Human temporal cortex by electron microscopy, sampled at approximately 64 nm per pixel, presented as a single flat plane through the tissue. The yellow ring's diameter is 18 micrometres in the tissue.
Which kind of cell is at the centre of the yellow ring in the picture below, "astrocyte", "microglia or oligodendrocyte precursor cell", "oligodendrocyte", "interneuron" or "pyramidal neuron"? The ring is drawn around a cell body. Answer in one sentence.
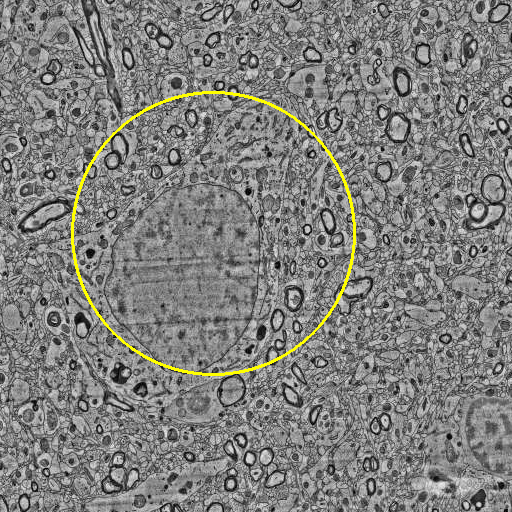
The ring's central cell is a pyramidal neuron.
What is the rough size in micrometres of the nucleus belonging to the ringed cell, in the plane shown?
Roughly 12 micrometres by 10 micrometres, in this plane.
